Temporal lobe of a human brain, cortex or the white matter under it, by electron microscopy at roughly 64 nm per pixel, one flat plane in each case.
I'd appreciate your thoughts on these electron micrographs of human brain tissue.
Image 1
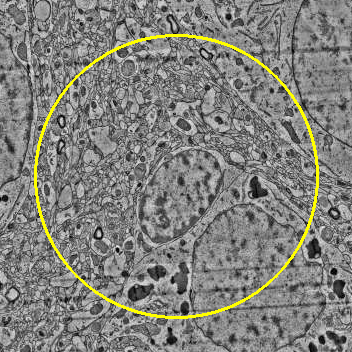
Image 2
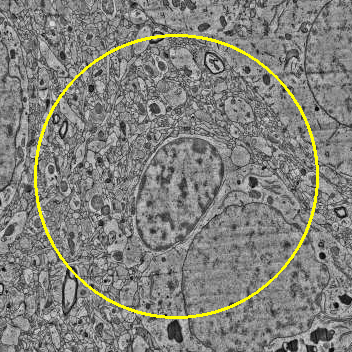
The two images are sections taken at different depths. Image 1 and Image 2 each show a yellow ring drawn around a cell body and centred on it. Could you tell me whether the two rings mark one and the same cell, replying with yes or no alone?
yes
